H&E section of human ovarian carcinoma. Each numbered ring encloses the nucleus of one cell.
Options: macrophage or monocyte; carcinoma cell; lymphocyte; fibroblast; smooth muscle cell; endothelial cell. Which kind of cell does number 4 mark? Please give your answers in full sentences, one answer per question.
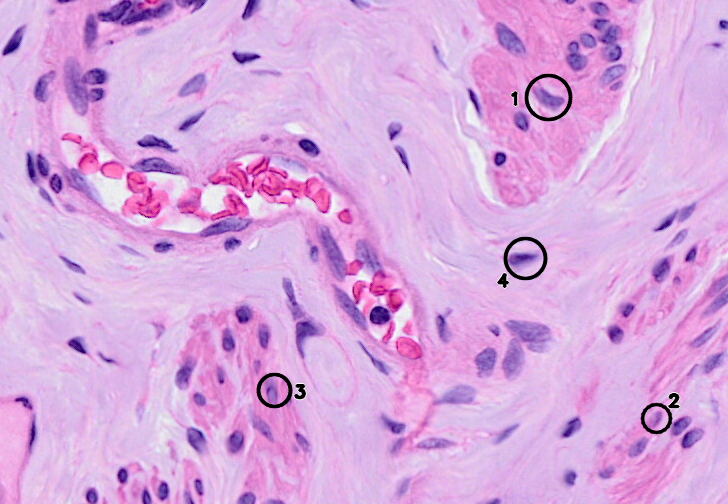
Cell number 4 in this section is a fibroblast.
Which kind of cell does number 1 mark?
Cell 1 is classified as a smooth muscle cell.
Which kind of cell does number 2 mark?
Marked with the number 2, this cell is a smooth muscle cell.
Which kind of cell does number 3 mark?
The mark numbered 3 indicates the nucleus of a smooth muscle cell.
